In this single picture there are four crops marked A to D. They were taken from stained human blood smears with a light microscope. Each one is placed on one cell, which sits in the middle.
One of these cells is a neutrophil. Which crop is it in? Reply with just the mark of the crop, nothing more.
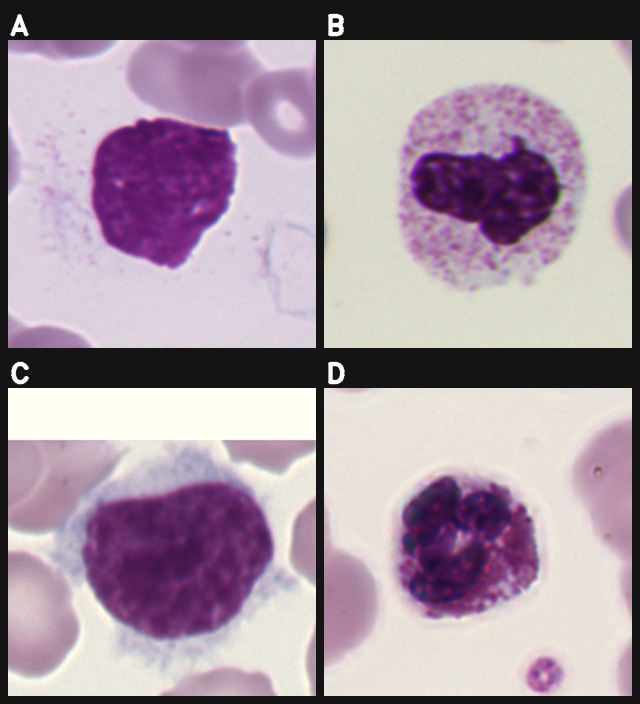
B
